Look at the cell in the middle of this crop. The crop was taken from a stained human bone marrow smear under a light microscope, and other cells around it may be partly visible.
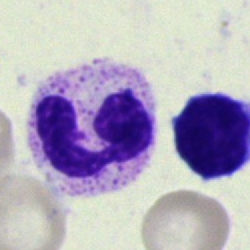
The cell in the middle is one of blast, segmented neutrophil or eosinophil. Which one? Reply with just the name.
segmented neutrophil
